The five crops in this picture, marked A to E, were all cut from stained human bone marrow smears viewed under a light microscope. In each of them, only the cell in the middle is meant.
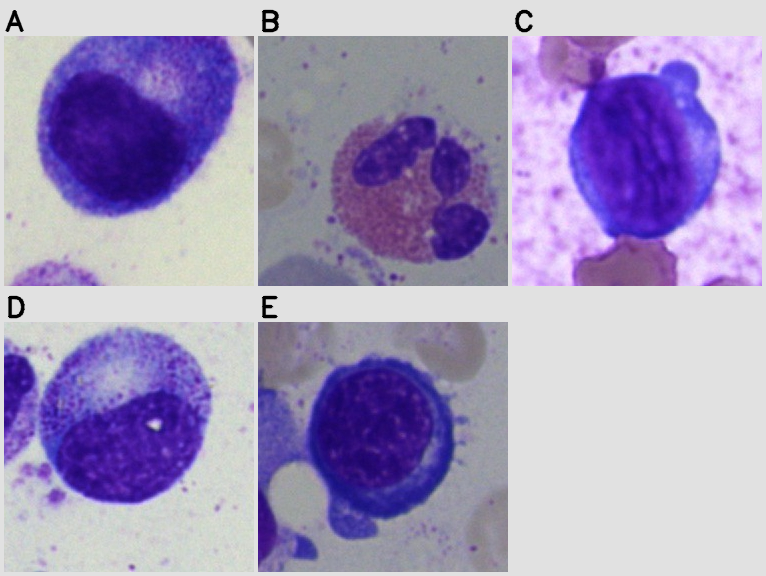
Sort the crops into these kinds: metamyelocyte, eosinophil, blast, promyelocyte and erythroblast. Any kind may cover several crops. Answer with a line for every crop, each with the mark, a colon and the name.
A: promyelocyte
B: eosinophil
C: blast
D: metamyelocyte
E: erythroblast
